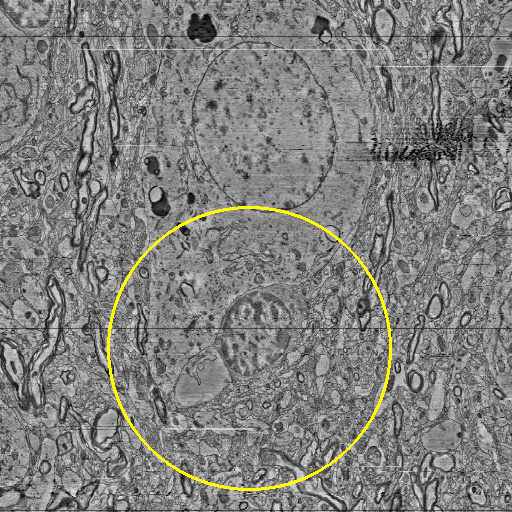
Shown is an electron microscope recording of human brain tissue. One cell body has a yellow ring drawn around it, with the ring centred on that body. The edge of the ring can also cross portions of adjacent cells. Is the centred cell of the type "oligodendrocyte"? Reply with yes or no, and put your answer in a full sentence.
Yes, in the picture, the cell on which the ring is centred has this type.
